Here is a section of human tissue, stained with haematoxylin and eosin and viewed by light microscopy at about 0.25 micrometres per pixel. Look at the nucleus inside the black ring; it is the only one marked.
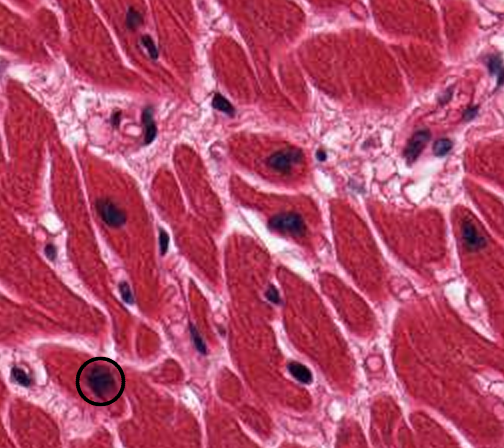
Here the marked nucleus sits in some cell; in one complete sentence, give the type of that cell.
The nucleus marked in this picture belongs to a cardiomyocyte.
